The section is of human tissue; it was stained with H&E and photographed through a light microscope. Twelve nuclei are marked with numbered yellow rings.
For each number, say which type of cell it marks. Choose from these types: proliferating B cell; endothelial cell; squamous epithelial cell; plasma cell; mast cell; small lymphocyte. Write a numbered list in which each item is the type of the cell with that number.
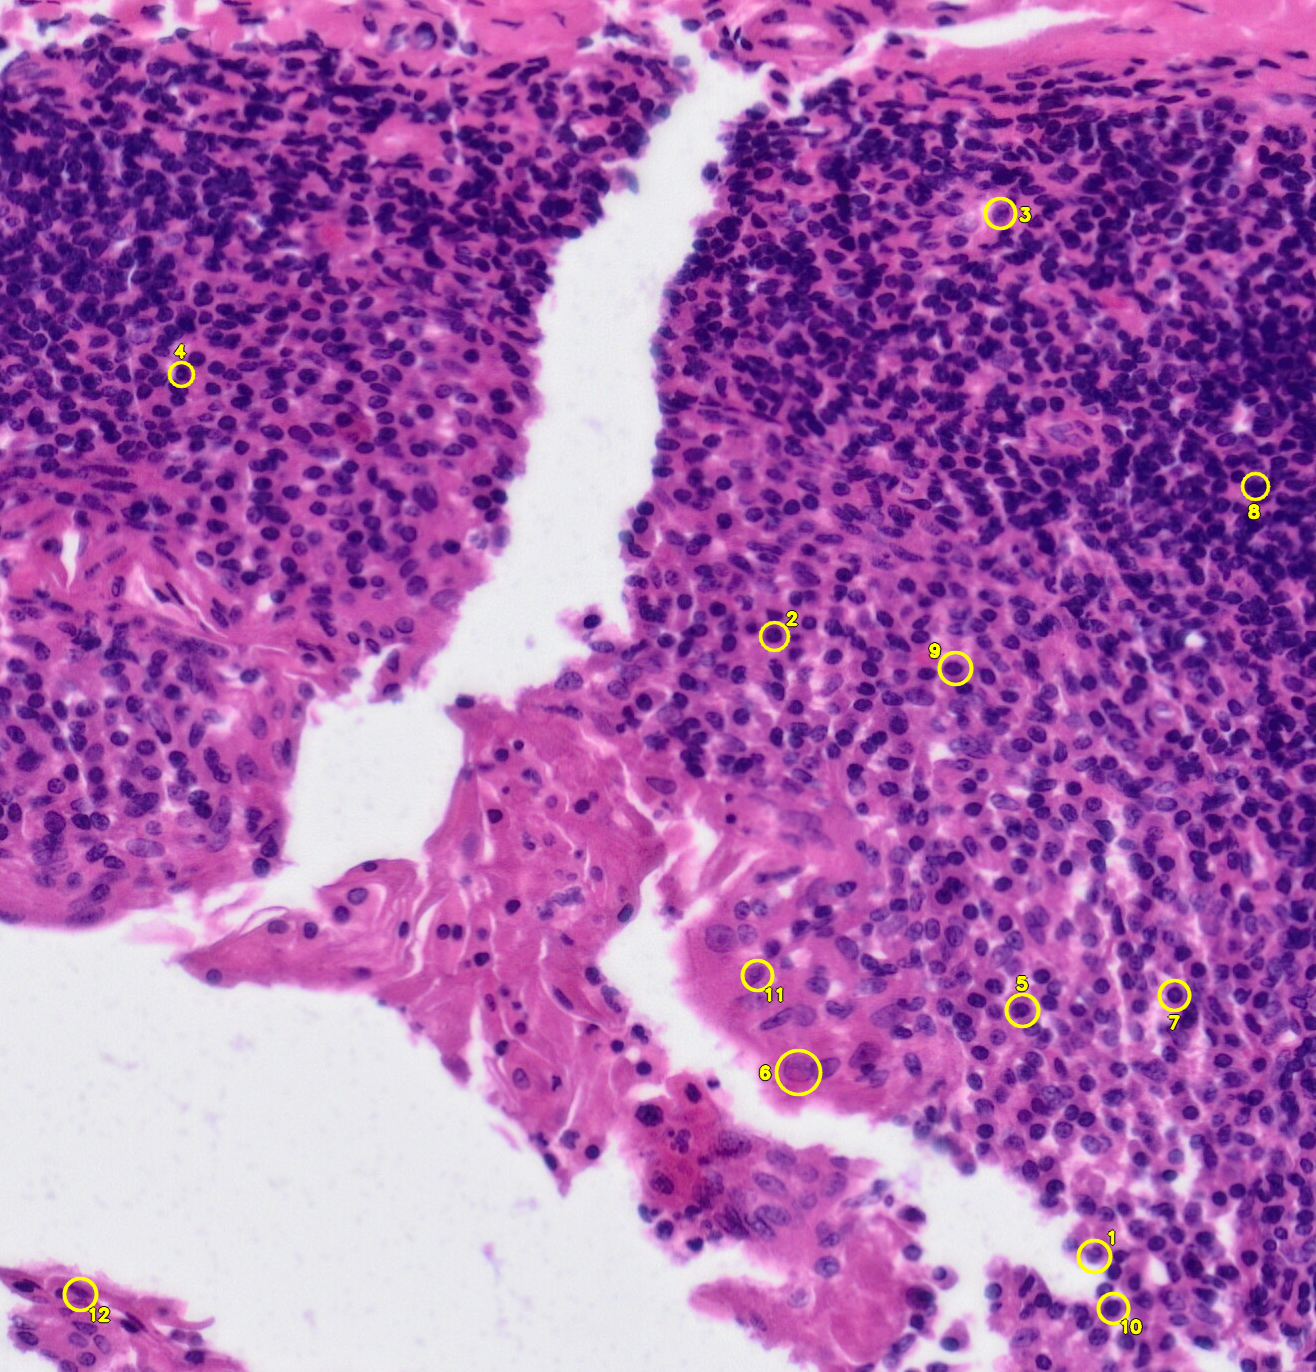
1. plasma cell
2. plasma cell
3. endothelial cell
4. plasma cell
5. plasma cell
6. squamous epithelial cell
7. plasma cell
8. small lymphocyte
9. plasma cell
10. plasma cell
11. squamous epithelial cell
12. squamous epithelial cell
